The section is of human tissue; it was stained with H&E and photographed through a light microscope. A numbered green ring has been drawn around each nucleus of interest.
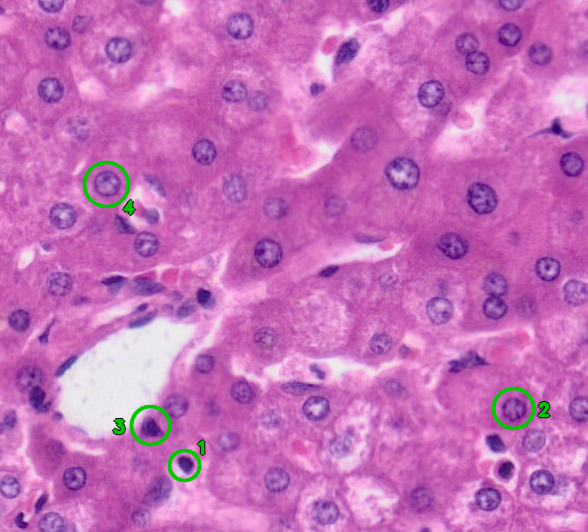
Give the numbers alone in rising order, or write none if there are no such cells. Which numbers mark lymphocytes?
1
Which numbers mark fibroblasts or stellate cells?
3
